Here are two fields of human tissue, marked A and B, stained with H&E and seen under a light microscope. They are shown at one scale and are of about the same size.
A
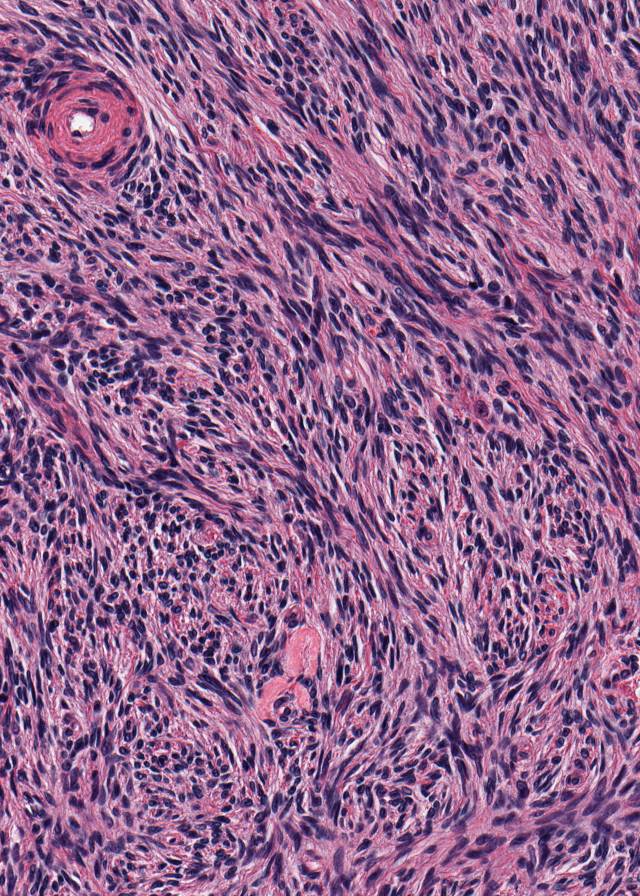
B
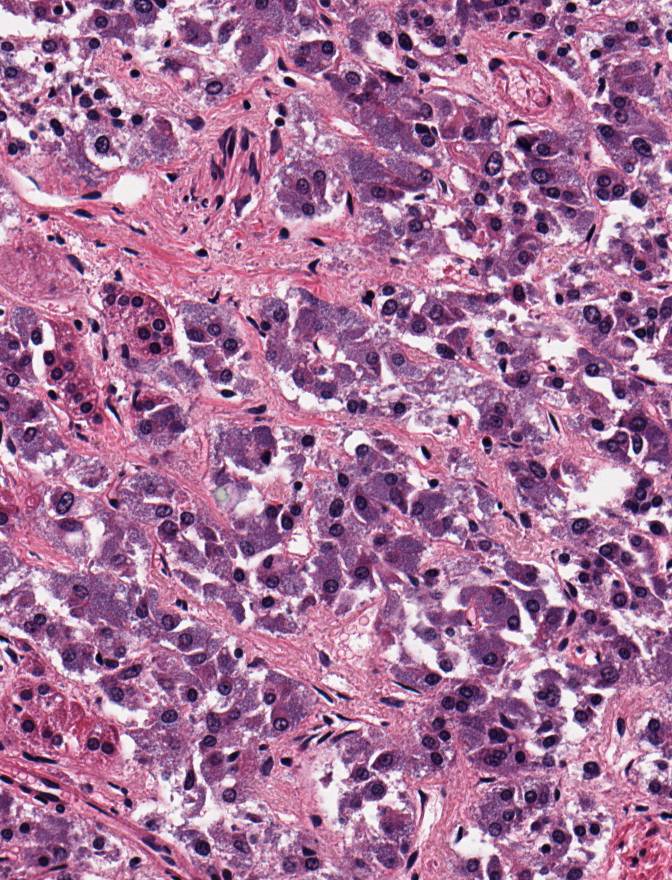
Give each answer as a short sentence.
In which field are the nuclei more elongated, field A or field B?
On the whole the nuclei of field A are more drawn out than those of field B.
